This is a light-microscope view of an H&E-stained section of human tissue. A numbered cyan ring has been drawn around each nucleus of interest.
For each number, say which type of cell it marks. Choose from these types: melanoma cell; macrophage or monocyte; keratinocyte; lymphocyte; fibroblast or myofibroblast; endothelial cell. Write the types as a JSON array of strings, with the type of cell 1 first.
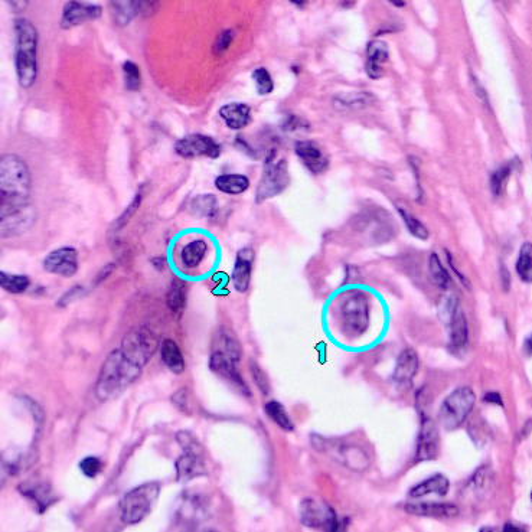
["melanoma cell", "lymphocyte"]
